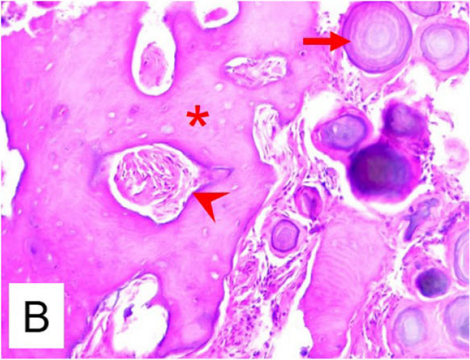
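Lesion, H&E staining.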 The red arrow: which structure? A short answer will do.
Psammoma bodies.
